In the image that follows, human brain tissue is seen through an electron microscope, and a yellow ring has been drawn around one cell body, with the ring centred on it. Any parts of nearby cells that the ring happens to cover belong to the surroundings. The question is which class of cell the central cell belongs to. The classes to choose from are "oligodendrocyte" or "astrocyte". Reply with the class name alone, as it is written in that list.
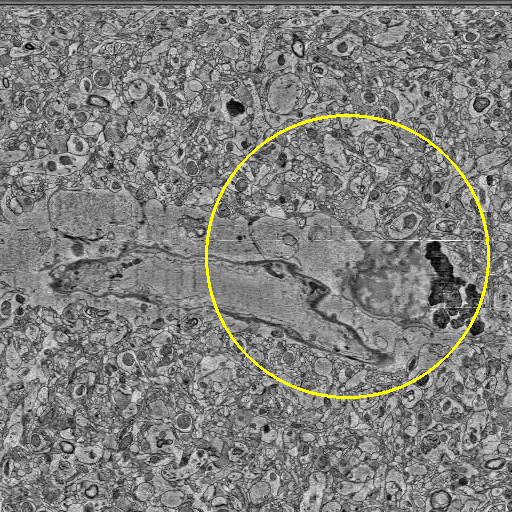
oligodendrocyte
